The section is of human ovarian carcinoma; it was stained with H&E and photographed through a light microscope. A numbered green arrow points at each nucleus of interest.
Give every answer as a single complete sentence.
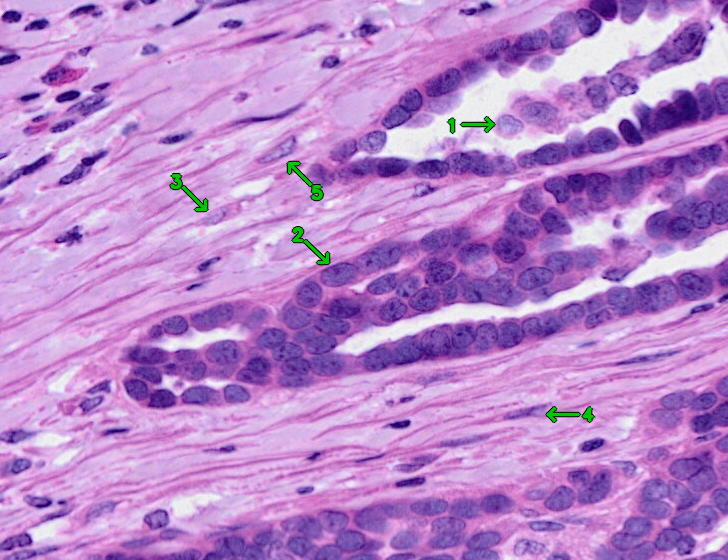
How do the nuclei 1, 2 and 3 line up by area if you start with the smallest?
The order from the smallest nucleus to the largest is 3, 1, 2.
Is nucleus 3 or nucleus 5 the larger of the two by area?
The larger nucleus is 5, at roughly 1.5 times the area of 3.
